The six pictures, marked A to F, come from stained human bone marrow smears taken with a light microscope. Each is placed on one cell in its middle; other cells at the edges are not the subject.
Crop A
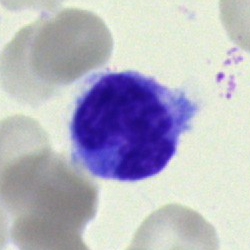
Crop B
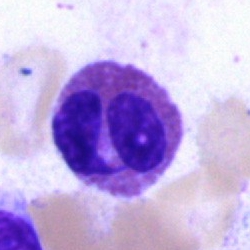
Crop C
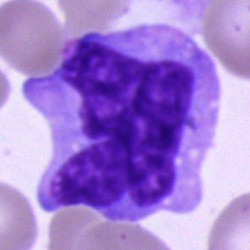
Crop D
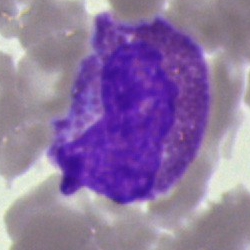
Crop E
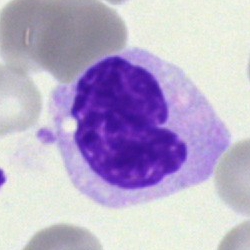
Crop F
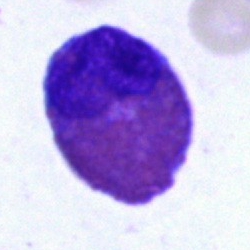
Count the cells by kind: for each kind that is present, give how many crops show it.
eosinophil: 3
monocyte: 2
metamyelocyte: 1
